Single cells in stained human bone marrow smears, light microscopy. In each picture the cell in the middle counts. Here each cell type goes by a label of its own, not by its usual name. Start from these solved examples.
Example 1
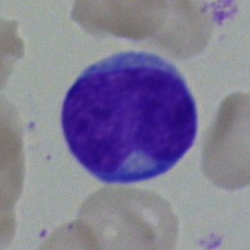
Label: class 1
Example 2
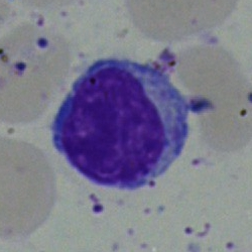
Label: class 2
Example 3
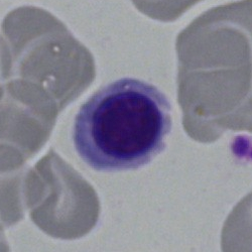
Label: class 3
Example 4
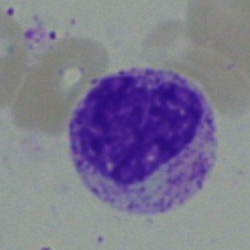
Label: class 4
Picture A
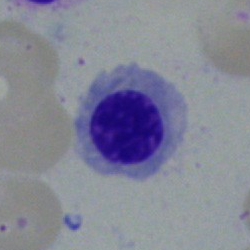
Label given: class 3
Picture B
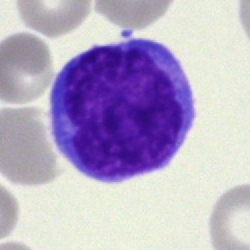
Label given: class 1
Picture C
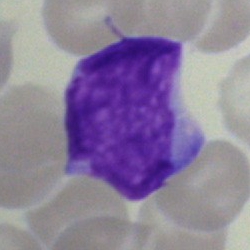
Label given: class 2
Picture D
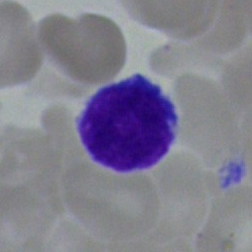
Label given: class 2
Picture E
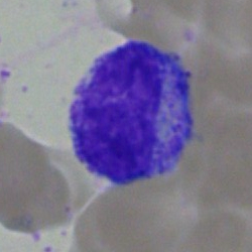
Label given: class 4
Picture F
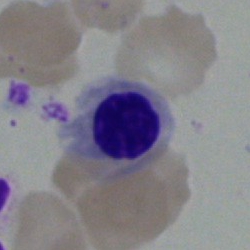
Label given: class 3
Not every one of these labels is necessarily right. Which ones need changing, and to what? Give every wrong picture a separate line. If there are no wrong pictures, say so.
C is labelled class 2; correct label: class 1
